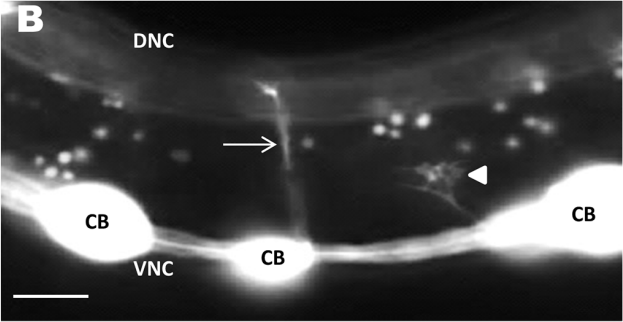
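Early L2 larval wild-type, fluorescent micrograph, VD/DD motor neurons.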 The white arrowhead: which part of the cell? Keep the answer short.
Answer: Growth cone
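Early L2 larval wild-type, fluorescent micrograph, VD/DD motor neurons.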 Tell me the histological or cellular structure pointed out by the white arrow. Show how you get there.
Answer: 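A thin fluorescent process runs from the bright ventral cord across the body toward the dorsal cord. The process is roughly perpendicular to both cords and reaches the upper cord.
Answer: commissure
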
